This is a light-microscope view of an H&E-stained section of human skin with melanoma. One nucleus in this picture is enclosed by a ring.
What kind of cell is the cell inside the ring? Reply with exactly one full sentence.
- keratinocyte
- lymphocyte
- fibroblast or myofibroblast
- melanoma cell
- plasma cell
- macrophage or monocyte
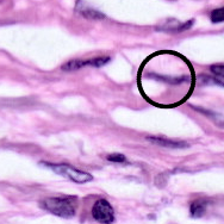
The cell type represented by the cell inside the ring is that of a fibroblast or myofibroblast.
